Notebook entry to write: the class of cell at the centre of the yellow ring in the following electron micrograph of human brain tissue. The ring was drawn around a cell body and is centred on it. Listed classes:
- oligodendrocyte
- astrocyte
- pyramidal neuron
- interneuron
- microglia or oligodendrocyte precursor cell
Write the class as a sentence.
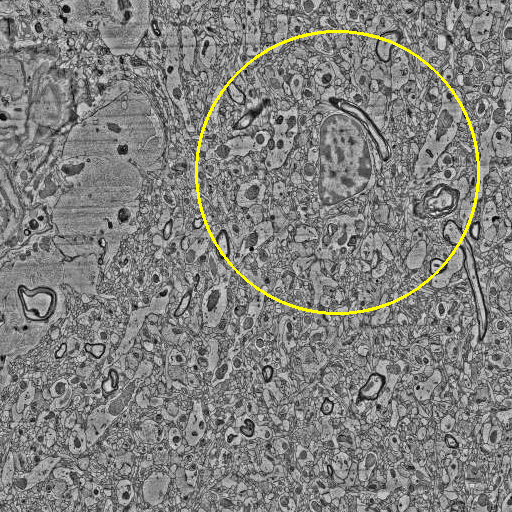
The yellow ring sits on a microglial cell or oligodendrocyte precursor cell.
